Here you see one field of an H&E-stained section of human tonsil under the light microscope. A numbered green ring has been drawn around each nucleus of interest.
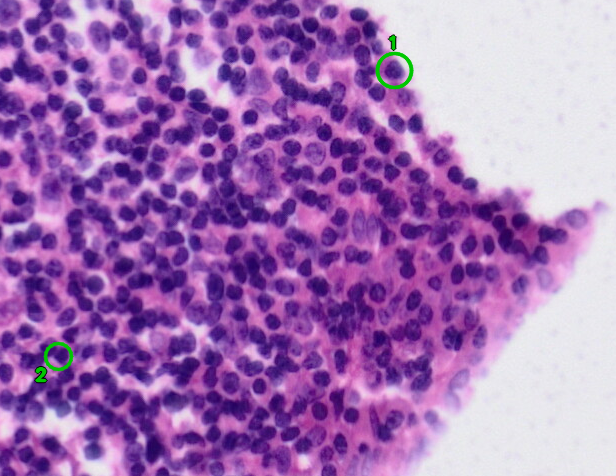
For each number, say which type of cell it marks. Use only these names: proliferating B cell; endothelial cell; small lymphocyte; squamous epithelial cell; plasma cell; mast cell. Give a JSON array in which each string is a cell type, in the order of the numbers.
["plasma cell", "small lymphocyte"]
